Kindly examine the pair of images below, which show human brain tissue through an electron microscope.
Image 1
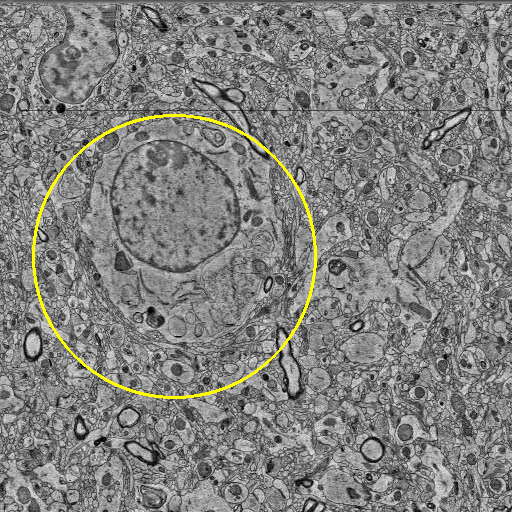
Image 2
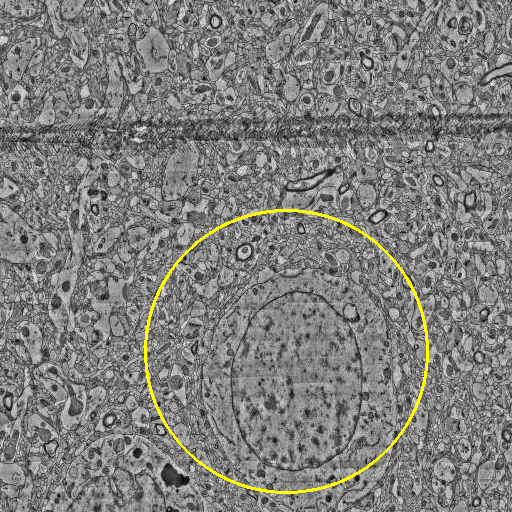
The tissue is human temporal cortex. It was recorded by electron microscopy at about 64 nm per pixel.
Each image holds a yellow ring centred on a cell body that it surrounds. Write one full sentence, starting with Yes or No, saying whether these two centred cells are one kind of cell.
No, the cells at the centres of the yellow rings belong to two kinds of cell.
